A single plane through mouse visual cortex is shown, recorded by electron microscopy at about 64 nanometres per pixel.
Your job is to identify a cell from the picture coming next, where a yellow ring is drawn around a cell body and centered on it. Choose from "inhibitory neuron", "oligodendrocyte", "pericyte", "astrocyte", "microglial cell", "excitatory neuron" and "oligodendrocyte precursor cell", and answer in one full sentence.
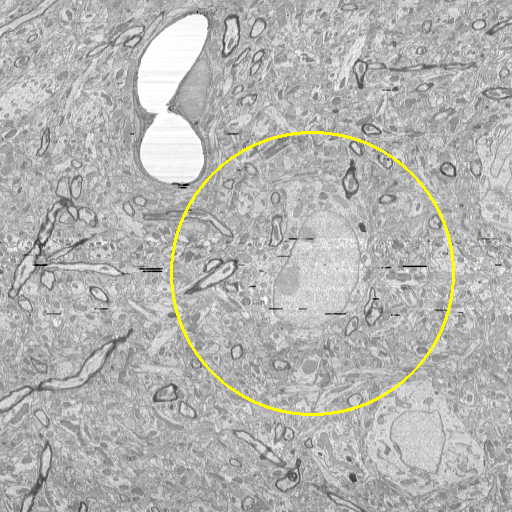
Centered in the yellow ring of the picture is the body of an astrocyte.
